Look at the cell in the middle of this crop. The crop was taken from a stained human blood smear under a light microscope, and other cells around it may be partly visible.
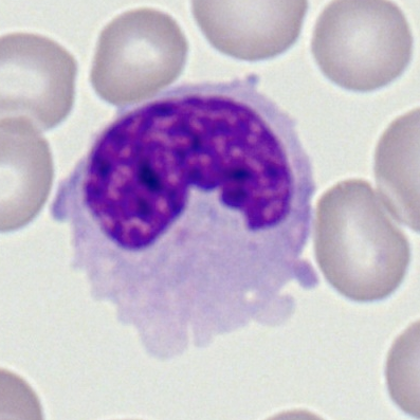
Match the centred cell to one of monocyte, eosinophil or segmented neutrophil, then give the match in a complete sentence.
This crop is built around a monocyte at its centre.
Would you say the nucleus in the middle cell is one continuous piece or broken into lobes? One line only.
In this cell the nucleus is a solitary compact mass, round, oval or kidney-shaped.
